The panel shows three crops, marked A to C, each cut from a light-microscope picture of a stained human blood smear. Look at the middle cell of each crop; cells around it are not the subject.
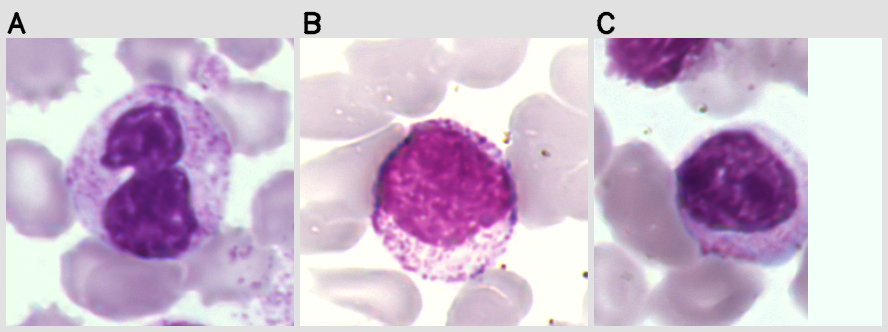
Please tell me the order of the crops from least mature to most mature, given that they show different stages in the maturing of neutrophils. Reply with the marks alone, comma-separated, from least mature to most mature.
B, C, A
